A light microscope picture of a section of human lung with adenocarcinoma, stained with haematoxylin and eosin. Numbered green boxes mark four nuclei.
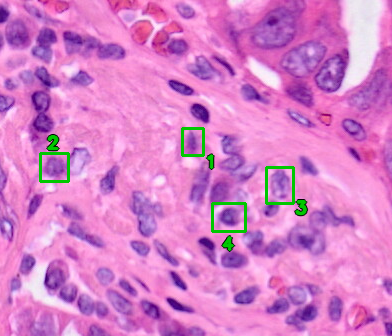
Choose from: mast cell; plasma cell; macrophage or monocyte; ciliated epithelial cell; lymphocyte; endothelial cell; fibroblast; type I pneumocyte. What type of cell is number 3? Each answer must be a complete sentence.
Recognised here as a lymphocyte is the cell numbered 3.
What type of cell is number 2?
The cell given label 2 is a plasma cell.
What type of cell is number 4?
The identity of cell 4 is that of a lymphocyte.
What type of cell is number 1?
Number 1 is placed on a plasma cell here.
